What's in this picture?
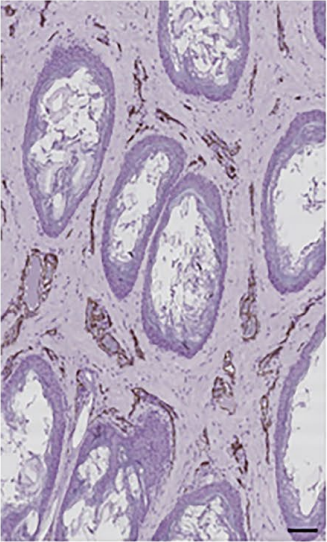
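The tubules lie in pale purple connective tissue with scattered small nuclei. In this stroma, numerous brown-lined channels of varied size run between the tubules. The brown lining is thin and follows the channel walls.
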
